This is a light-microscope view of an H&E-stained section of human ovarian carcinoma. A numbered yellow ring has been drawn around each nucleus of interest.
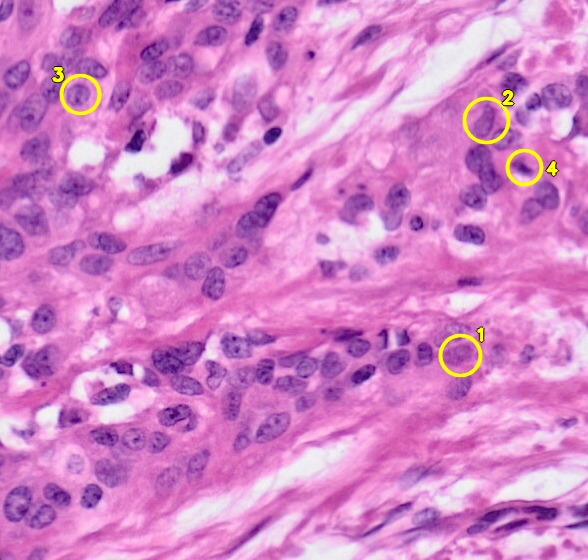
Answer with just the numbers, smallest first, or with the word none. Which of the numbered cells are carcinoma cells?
1, 2, 4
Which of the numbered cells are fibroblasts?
none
